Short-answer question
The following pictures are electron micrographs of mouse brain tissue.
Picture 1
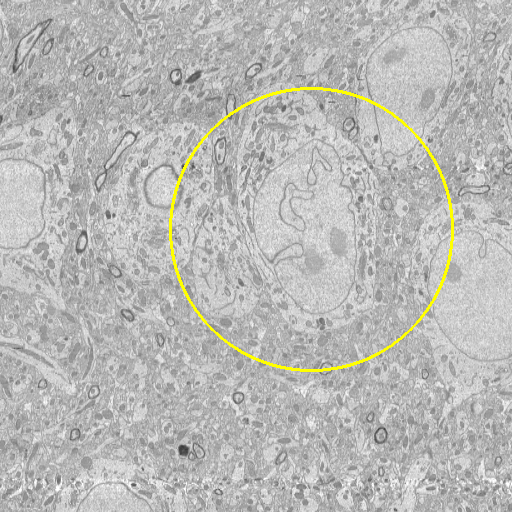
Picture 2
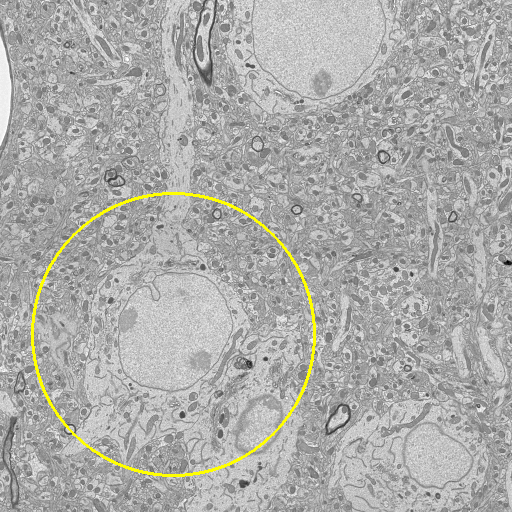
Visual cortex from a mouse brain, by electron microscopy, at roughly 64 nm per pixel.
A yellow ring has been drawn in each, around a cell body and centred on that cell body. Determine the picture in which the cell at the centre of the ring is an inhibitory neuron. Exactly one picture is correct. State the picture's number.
1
